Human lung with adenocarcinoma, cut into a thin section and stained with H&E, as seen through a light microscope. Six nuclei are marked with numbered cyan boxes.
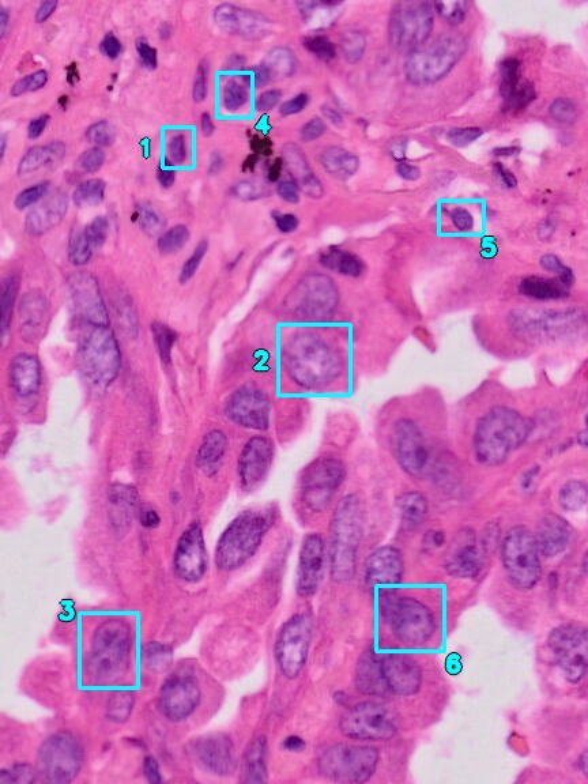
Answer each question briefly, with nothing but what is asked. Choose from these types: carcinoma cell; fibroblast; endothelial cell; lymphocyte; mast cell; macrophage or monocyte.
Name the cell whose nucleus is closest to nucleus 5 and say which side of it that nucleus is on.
a fibroblast above and to the left of nucleus 5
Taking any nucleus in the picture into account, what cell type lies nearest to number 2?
carcinoma cell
